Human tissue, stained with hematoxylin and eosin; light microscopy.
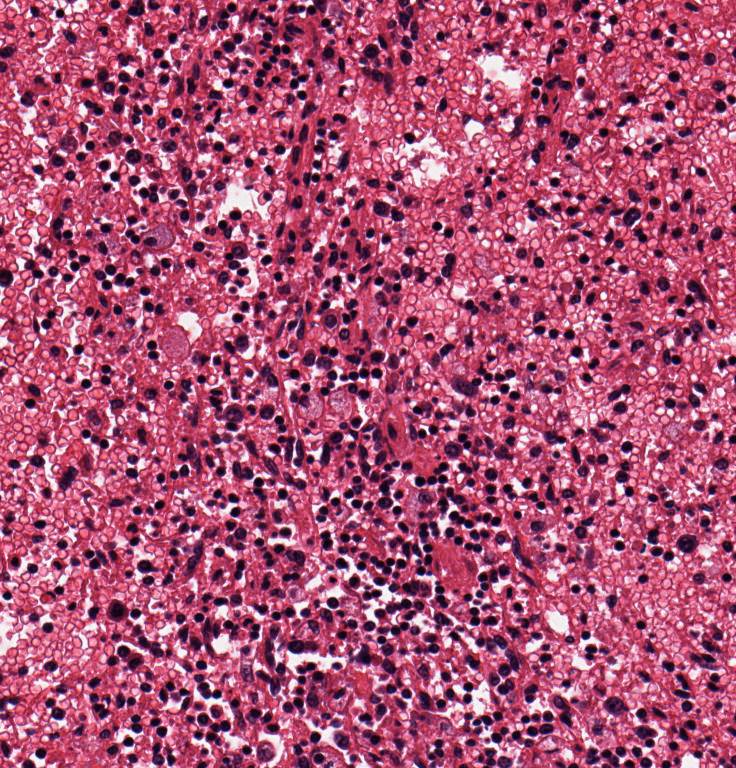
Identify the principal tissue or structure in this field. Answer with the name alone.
red pulp of the spleen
